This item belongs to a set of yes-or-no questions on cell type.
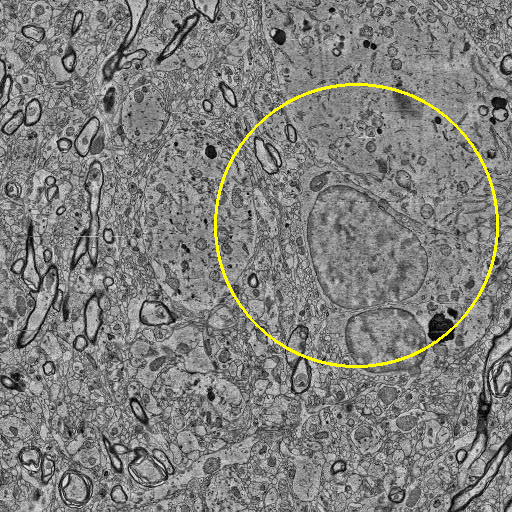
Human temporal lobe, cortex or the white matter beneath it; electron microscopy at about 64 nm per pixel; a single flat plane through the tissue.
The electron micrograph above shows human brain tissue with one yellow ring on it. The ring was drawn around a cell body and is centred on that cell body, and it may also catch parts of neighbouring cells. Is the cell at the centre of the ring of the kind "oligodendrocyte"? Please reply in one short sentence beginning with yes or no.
Yes, that cell is of the named kind.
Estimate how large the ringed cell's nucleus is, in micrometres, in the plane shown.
In this plane, about 9 micrometres in length and 7 in width.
